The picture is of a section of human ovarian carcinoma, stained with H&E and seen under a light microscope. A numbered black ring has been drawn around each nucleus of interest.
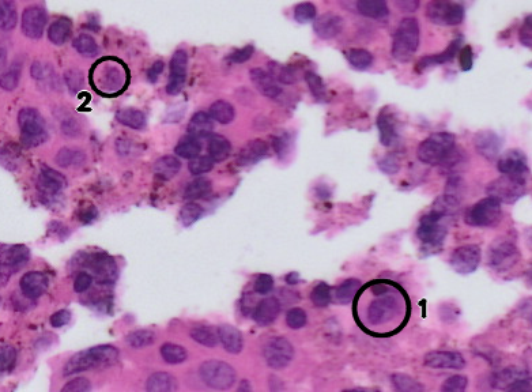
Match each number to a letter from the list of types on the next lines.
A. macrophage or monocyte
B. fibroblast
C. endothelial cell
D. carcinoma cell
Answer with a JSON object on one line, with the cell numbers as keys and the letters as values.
{"1": "D", "2": "A"}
